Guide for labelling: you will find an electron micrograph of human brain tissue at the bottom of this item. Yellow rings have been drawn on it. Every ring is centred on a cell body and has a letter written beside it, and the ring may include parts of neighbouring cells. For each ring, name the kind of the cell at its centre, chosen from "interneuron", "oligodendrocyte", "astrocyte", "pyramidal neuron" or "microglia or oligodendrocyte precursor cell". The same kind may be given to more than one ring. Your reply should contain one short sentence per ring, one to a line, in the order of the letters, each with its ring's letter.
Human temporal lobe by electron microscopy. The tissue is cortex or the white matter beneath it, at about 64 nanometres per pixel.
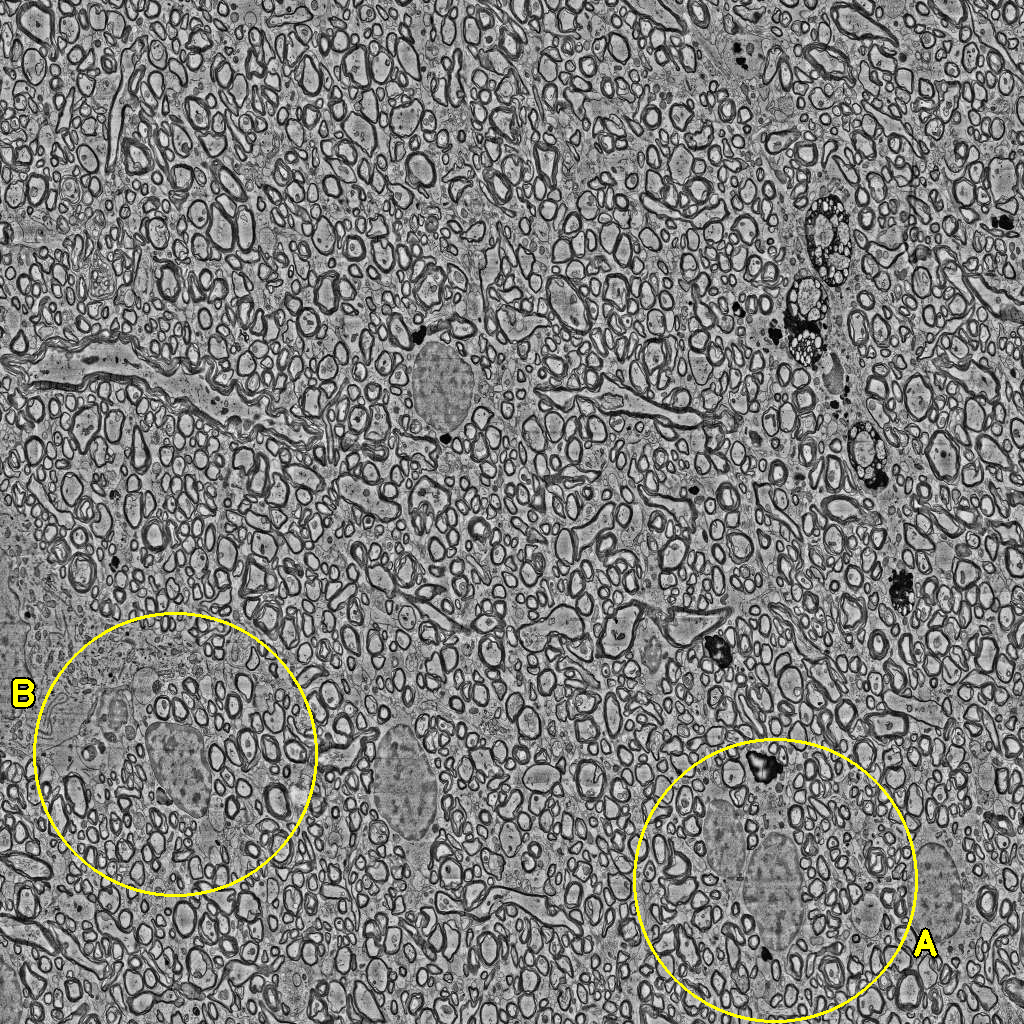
Ring A is centred on the body of an oligodendrocyte.
Ring B is centred on the body of a microglial cell or oligodendrocyte precursor cell.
